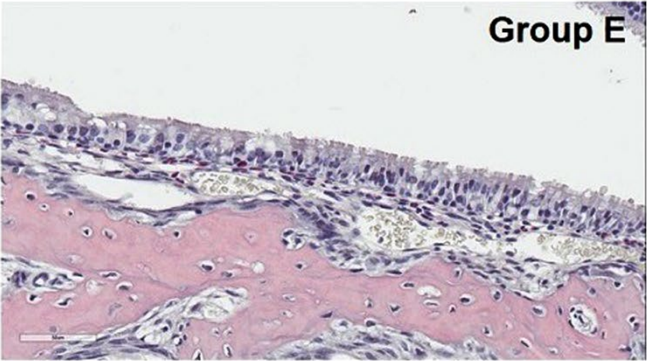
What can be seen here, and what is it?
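Nasal turbinate mucosa with a pseudostratified columnar epithelium over a thin layer of connective tissue and a broad pink-staining bone containing cells in lacunae. Thin-walled vessels in the connective tissue are filled with yellowish red blood cells. Only a few cells with red cytoplasm are scattered in the tissue just beneath the epithelium.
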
